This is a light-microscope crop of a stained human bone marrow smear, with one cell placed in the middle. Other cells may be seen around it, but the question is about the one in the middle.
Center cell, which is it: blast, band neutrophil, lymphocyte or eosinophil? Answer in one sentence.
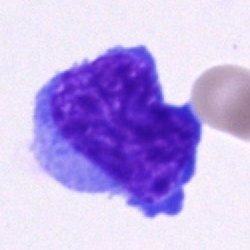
In the center of this field lies a blast.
